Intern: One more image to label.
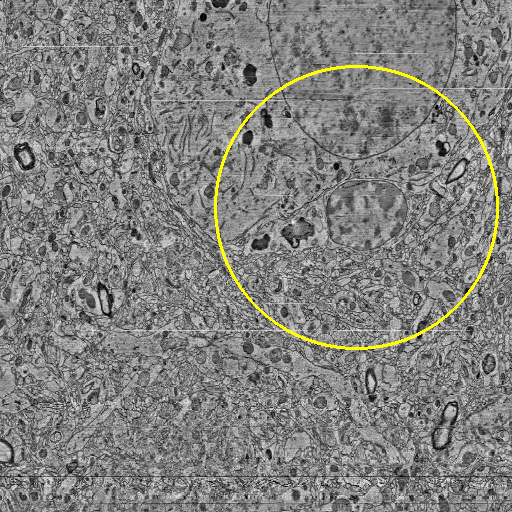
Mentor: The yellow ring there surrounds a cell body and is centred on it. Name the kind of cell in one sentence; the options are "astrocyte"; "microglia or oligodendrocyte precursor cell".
The ring marks the cell body of a microglial cell or oligodendrocyte precursor cell.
